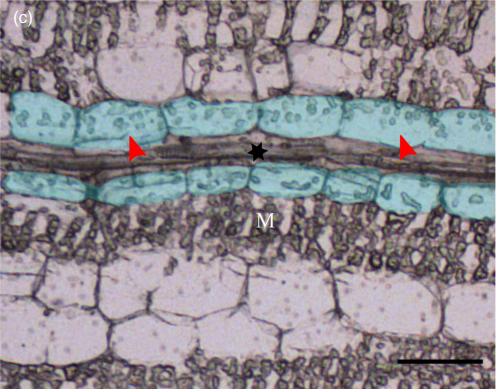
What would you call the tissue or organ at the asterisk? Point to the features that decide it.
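Vascular tissue. The asterisk sits on a narrow central strand of long, thin, dark-walled elements. The strand runs lengthwise between the two rows of blue-shaded cells.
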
